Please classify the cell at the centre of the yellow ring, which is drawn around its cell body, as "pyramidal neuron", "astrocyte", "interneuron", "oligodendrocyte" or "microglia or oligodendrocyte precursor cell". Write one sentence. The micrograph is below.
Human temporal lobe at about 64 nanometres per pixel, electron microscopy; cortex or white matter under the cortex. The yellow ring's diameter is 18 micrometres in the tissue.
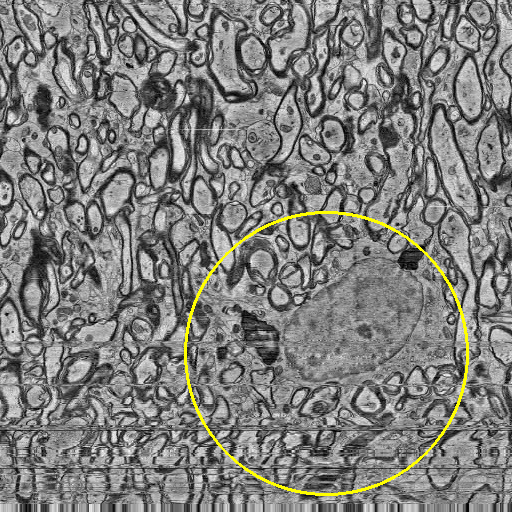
The cell at the ring's centre is classified as an oligodendrocyte.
